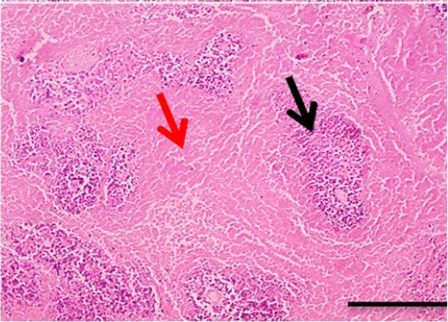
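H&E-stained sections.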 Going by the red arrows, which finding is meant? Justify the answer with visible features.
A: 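The red arrow points to a broad pale pink area without intact nuclei. The pink area has a wispy, granular texture. Purple cell nests lie scattered within it.
Answer: eosinophilic necrotic zones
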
